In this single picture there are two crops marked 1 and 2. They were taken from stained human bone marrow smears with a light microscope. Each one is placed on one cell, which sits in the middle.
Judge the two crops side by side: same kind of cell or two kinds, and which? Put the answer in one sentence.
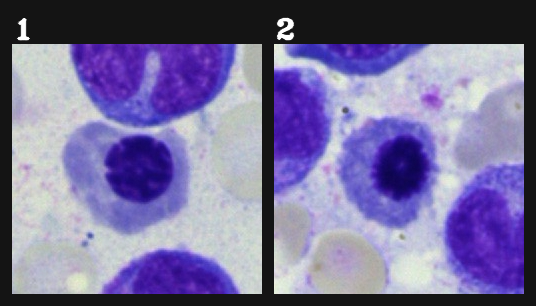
Yes, erythroblasts are the cells shown in both crops.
